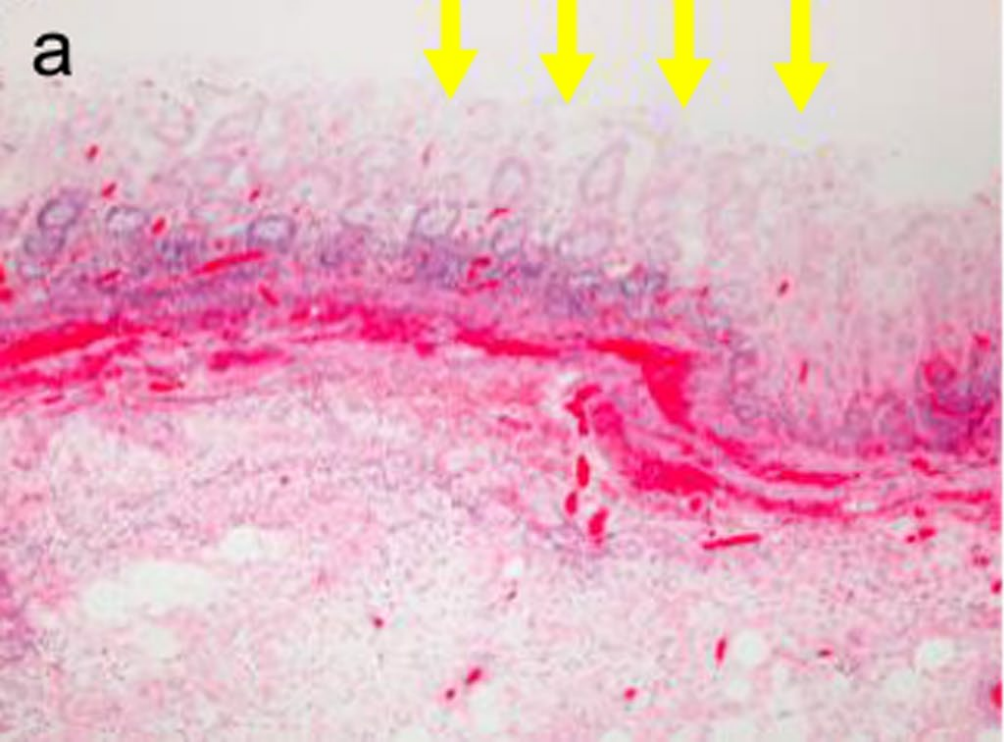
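This is intestinal wall with a row of mucosal glands above a loose, pale submucosa. The glands toward the right, in the upper mucosa, are pale, faded outlines that have lost most of their purple nuclear staining, while glands to the left keep a darker purple epithelial lining. Beneath the mucosa run distended vessels filled with bright red blood, within a loose, swollen-looking stroma.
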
